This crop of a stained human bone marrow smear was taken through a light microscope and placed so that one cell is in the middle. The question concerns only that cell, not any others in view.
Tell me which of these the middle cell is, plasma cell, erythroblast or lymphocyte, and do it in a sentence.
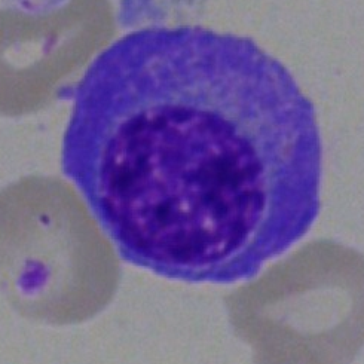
In short, the cell at the center is a plasma cell.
